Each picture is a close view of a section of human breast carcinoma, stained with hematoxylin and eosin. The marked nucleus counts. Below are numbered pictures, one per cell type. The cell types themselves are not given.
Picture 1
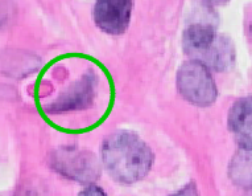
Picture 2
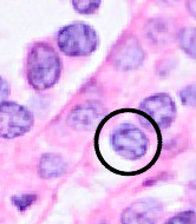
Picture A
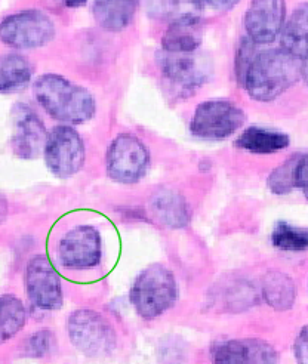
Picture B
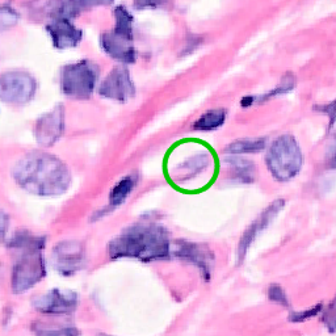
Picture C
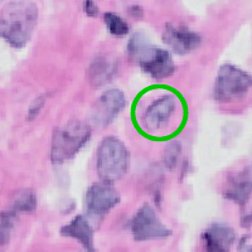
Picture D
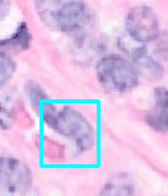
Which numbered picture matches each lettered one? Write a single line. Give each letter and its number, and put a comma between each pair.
A 2, B 1, C 1, D 1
